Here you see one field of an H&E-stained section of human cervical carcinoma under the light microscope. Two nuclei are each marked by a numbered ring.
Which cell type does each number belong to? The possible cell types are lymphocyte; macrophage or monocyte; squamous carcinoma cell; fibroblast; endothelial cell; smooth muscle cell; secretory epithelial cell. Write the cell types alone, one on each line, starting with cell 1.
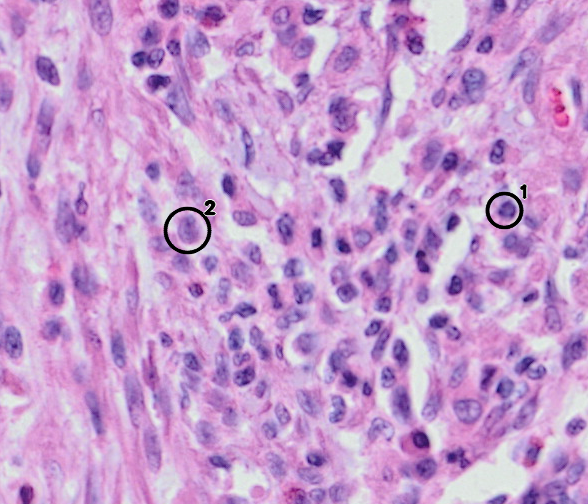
lymphocyte
macrophage or monocyte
